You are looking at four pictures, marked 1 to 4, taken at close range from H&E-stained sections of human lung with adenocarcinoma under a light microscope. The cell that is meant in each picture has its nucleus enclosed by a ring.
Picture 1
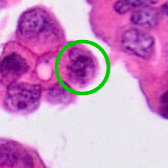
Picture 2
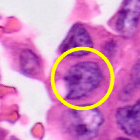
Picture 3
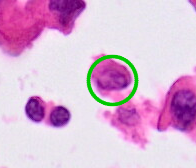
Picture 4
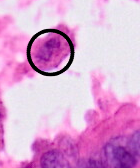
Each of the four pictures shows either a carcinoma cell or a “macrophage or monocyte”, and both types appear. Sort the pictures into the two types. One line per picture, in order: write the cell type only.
carcinoma cell
carcinoma cell
macrophage or monocyte
macrophage or monocyte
